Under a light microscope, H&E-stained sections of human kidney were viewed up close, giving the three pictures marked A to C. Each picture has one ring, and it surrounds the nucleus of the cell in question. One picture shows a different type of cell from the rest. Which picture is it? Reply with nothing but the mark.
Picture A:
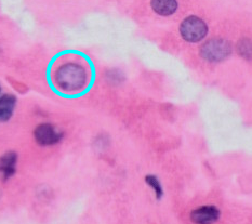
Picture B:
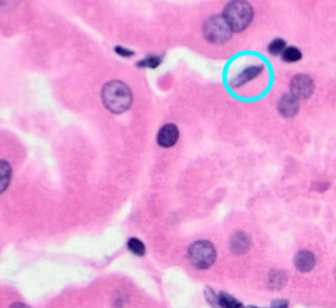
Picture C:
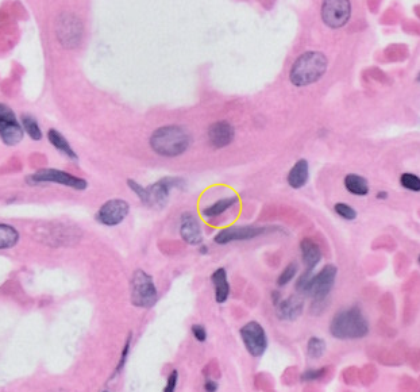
A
